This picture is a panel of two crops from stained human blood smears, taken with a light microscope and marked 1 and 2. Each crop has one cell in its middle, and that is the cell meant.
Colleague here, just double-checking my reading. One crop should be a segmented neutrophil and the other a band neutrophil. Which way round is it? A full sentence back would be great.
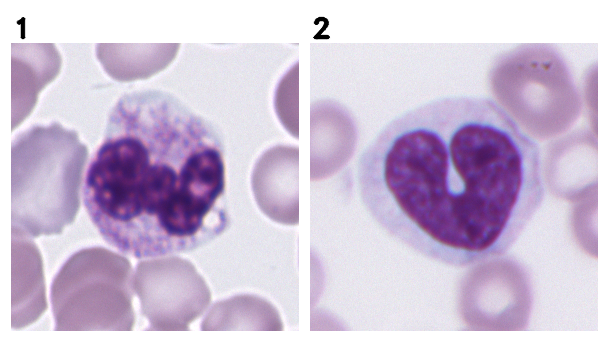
As for crop 1, it is a segmented neutrophil; crop 2, by contrast, is a band neutrophil.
